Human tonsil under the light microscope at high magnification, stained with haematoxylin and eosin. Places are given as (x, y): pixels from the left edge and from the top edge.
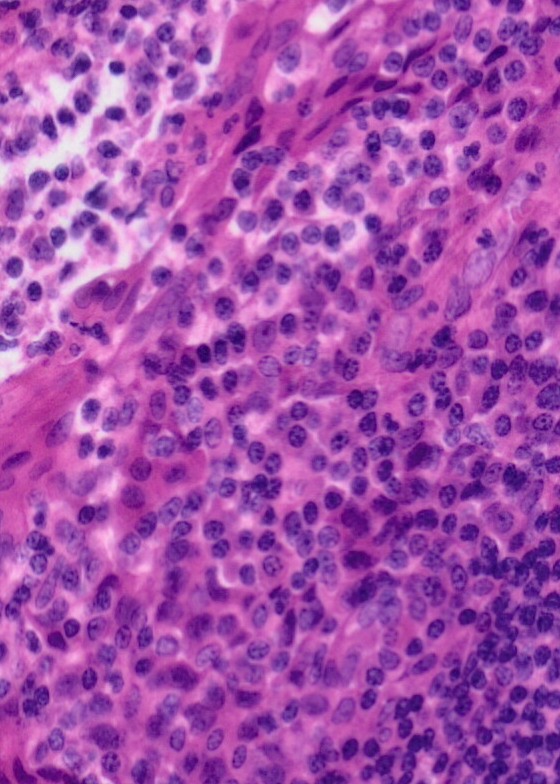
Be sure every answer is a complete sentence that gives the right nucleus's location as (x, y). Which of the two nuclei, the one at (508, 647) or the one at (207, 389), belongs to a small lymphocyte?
Among the two nuclei, the one found at (508, 647) belongs to a small lymphocyte.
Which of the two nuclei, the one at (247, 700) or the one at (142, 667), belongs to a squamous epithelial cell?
The one at (247, 700) is the nucleus belonging to a squamous epithelial cell, not the other one.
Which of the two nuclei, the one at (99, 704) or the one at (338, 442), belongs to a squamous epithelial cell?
The nucleus at (99, 704) is assigned to a squamous epithelial cell.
